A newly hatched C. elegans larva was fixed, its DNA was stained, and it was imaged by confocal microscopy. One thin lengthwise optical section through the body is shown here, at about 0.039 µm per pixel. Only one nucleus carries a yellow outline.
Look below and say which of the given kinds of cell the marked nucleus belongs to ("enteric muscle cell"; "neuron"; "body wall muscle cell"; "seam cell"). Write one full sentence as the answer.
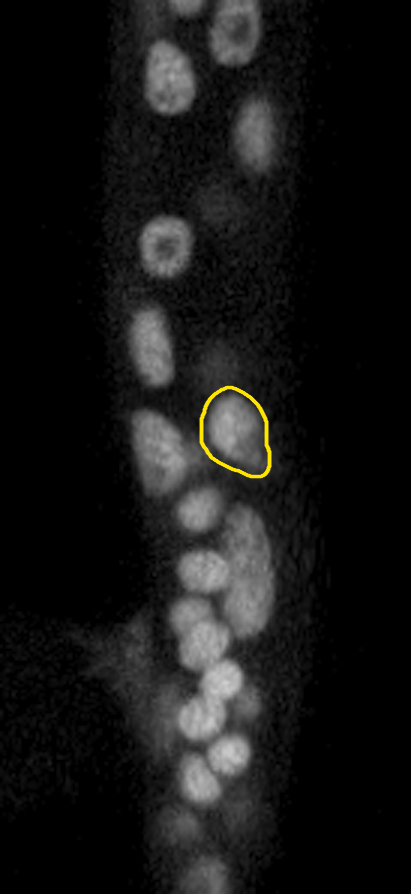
It belongs to a body wall muscle cell.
